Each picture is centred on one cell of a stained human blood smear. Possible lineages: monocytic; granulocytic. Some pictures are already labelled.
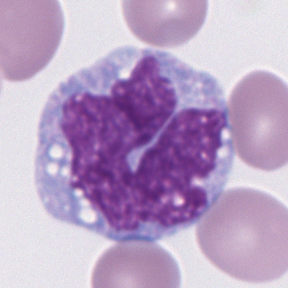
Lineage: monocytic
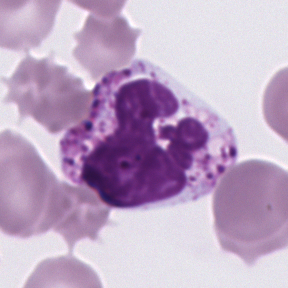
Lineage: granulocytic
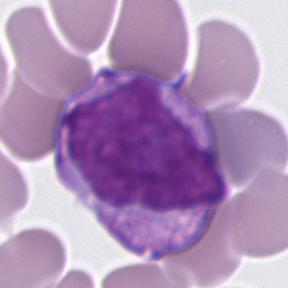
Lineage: granulocytic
